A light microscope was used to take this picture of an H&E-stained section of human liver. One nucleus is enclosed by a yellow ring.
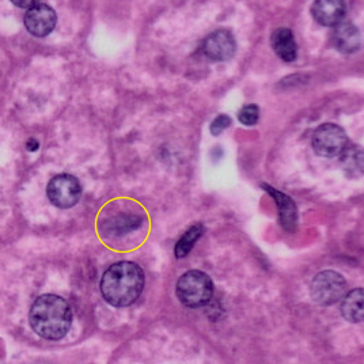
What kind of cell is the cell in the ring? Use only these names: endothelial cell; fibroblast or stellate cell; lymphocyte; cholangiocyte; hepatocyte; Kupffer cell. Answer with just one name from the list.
endothelial cell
